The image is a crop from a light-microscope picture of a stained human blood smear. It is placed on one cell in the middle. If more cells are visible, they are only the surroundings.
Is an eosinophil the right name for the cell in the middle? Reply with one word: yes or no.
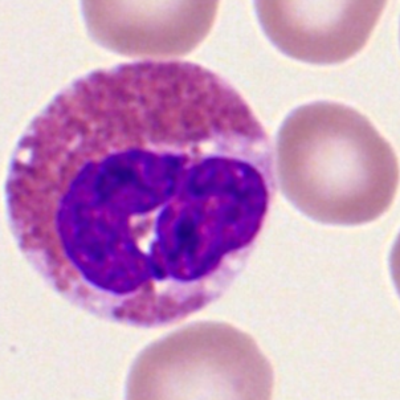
yes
